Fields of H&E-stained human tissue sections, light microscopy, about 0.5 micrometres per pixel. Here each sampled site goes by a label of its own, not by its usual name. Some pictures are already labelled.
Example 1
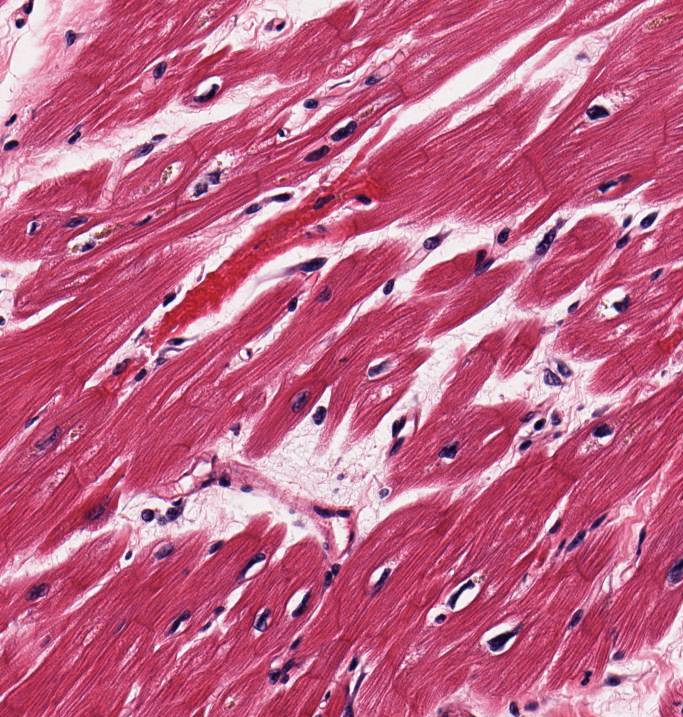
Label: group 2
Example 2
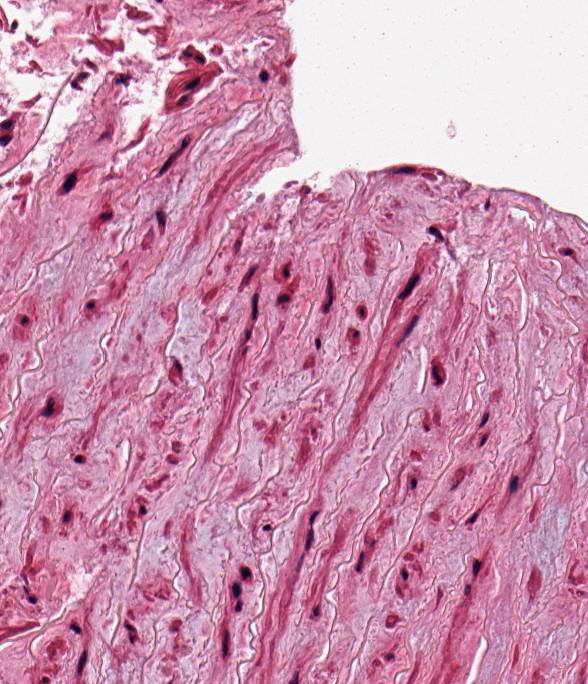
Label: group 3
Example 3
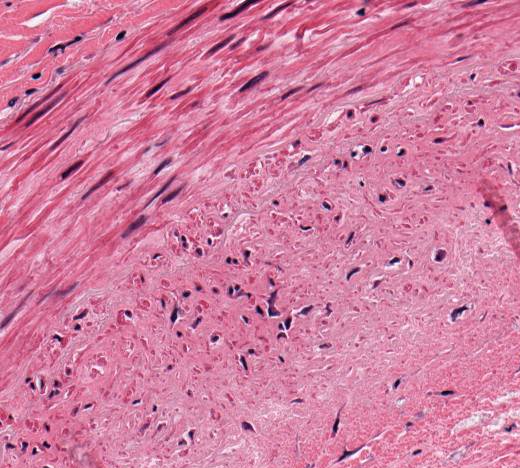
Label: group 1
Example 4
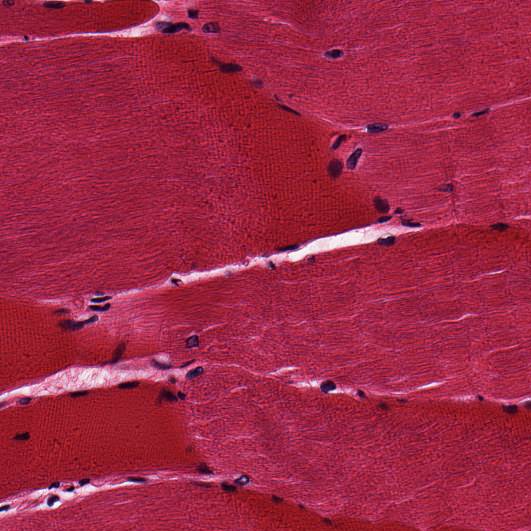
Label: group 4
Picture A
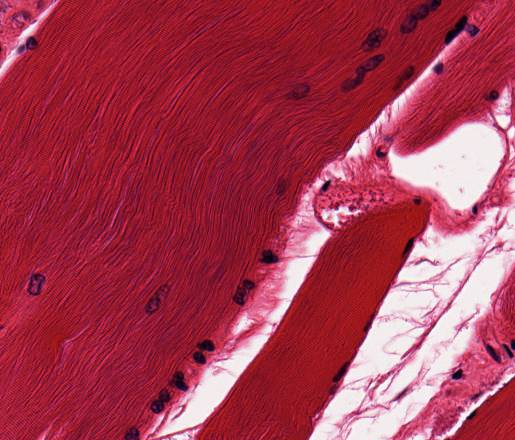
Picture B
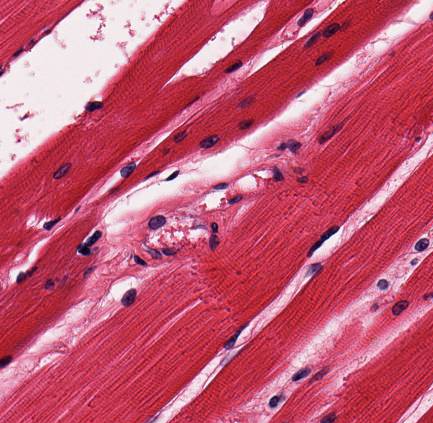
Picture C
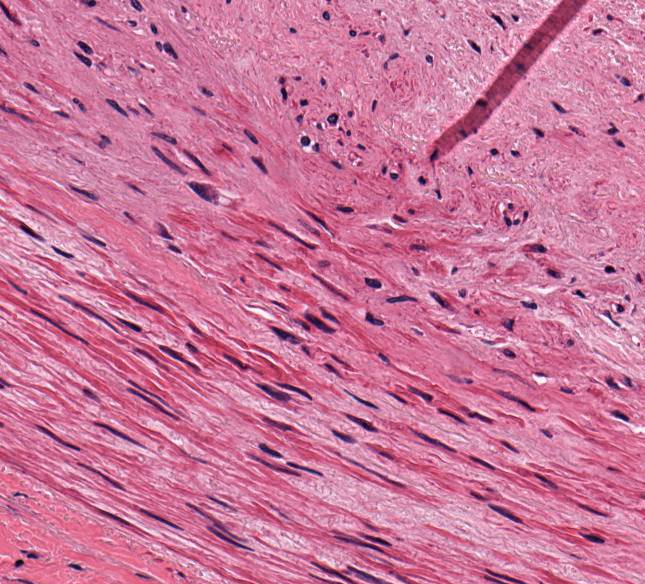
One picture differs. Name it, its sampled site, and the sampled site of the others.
C differs and shows group 1; the others show group 4.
